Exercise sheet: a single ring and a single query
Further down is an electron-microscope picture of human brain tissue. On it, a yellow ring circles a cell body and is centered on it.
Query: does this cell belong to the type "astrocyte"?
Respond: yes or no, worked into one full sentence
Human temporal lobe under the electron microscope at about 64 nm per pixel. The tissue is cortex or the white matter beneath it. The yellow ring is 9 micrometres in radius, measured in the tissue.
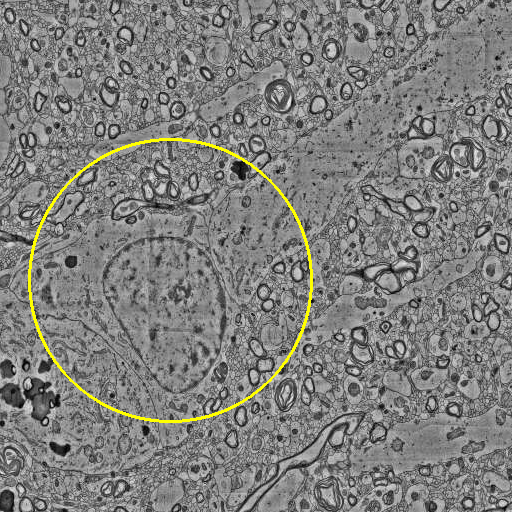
No, this ringed cell, found at the center of the ring in the picture, is of a different type.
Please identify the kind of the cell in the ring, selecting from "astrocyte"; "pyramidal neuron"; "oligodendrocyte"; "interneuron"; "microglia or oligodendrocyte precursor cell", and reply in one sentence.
The cell that the ring is centred on is a microglial cell or oligodendrocyte precursor cell.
